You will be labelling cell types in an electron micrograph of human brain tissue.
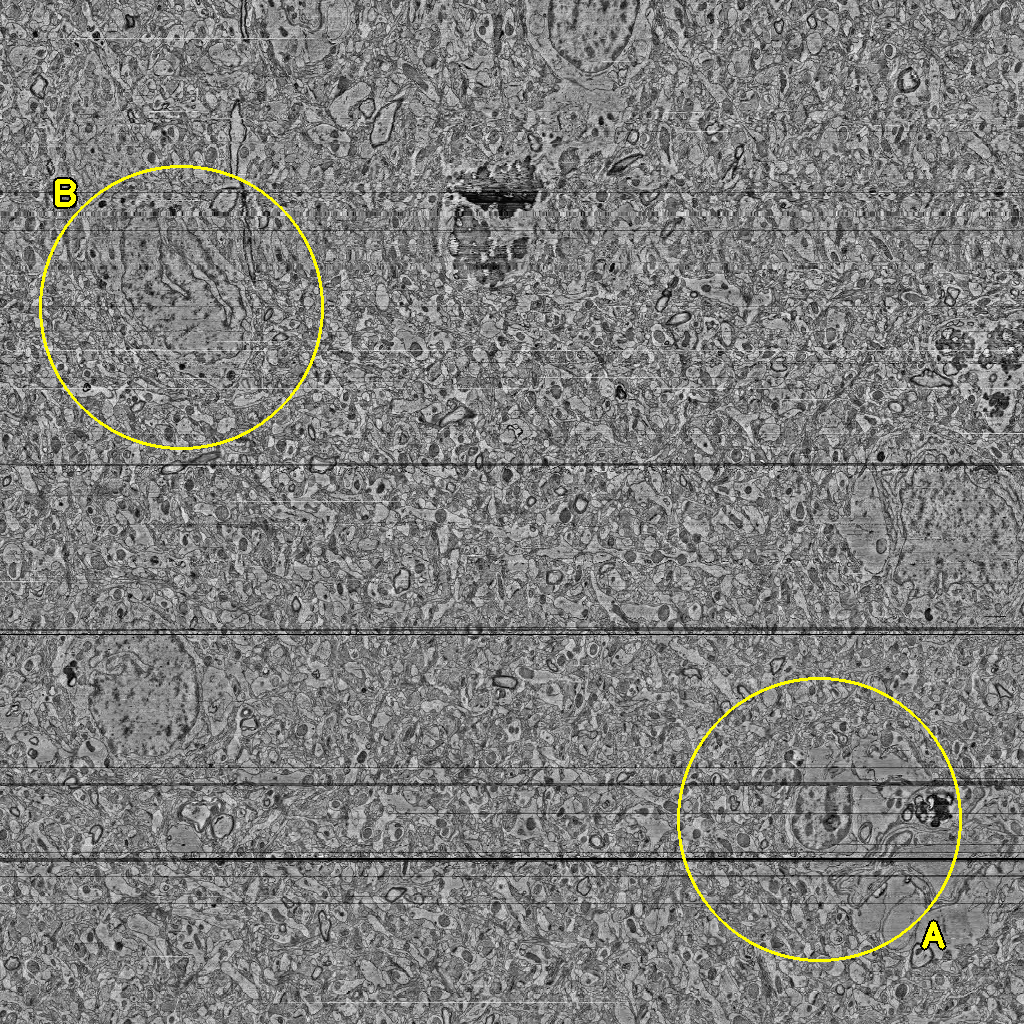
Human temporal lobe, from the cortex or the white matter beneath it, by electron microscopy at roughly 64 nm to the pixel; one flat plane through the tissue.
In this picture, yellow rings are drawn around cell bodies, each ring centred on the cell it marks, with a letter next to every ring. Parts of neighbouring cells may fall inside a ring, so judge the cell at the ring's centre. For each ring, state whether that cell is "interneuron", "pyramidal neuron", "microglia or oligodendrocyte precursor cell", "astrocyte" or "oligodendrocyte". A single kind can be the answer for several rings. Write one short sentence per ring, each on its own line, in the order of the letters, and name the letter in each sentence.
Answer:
Ring A contains a microglial cell or oligodendrocyte precursor cell at its centre.
Ring B contains an interneuron at its centre.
